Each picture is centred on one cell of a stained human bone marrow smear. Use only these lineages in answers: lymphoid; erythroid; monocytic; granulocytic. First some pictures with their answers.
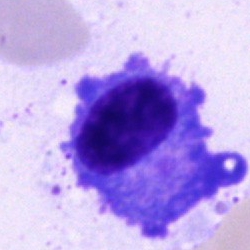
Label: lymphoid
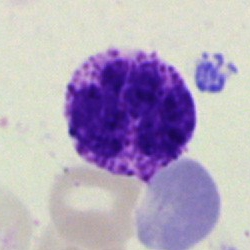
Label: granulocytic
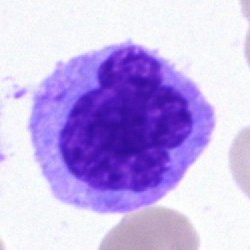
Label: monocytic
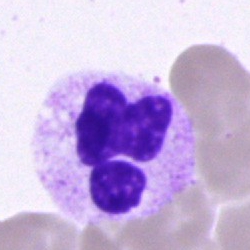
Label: granulocytic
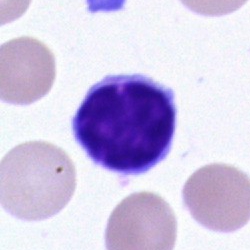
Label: lymphoid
